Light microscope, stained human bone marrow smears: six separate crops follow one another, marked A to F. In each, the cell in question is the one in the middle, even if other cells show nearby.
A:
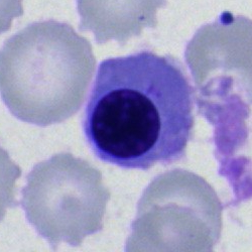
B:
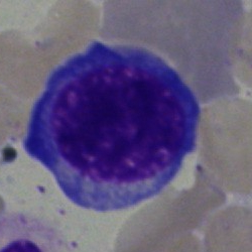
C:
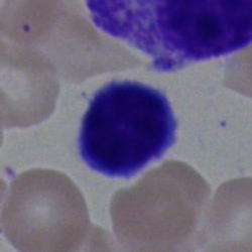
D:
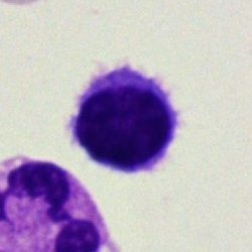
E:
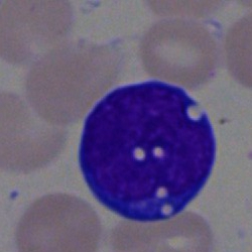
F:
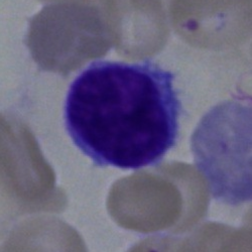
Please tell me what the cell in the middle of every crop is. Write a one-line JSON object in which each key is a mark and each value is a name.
{"A": "erythroblast", "B": "erythroblast", "C": "lymphocyte", "D": "lymphocyte", "E": "blast", "F": "lymphocyte"}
